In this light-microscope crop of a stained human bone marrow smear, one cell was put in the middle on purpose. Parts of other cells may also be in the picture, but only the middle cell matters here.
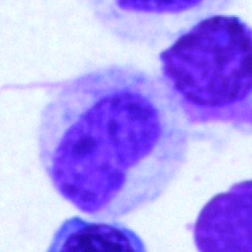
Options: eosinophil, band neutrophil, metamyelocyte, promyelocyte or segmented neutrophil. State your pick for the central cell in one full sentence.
Centred in the crop is a metamyelocyte.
